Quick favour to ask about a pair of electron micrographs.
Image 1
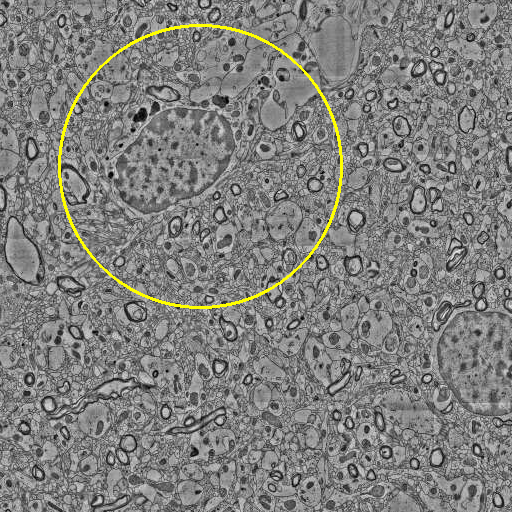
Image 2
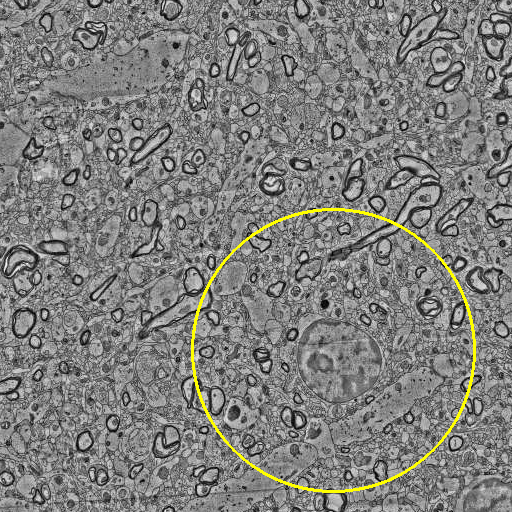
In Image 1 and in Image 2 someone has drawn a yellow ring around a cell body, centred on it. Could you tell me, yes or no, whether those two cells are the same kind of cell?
yes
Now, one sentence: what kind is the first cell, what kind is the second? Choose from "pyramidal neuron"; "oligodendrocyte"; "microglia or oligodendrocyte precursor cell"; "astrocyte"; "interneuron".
The ring centre holds a microglial cell or oligodendrocyte precursor cell in each of the two pictures.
